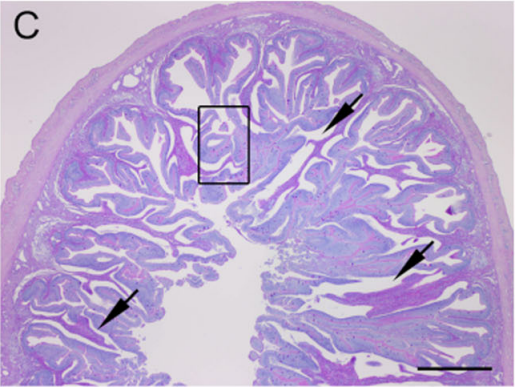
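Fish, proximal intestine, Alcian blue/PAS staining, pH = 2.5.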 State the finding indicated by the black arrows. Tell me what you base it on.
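At the arrows, clefts open within the folds between the epithelial layer and the pink connective tissue core. Such separations appear at several places around the section.
Detachment of lamina epithelialis from the lamina propria.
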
